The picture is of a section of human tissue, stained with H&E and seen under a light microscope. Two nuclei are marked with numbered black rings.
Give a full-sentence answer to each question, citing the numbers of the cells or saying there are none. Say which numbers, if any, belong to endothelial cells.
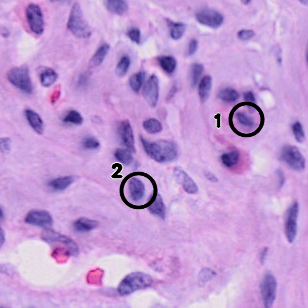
Just the cell marked 1 is an endothelial cell; none of the other marked cells is.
